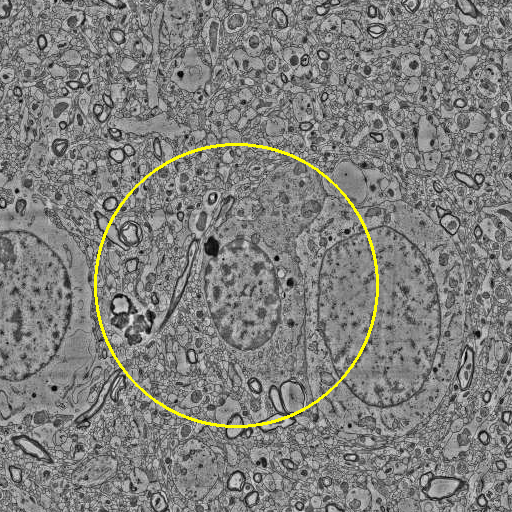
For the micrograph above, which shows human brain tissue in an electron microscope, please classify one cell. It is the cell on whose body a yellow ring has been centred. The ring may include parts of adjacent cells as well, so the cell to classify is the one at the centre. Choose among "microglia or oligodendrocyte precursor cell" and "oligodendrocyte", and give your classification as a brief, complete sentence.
I classify this cell as an oligodendrocyte.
